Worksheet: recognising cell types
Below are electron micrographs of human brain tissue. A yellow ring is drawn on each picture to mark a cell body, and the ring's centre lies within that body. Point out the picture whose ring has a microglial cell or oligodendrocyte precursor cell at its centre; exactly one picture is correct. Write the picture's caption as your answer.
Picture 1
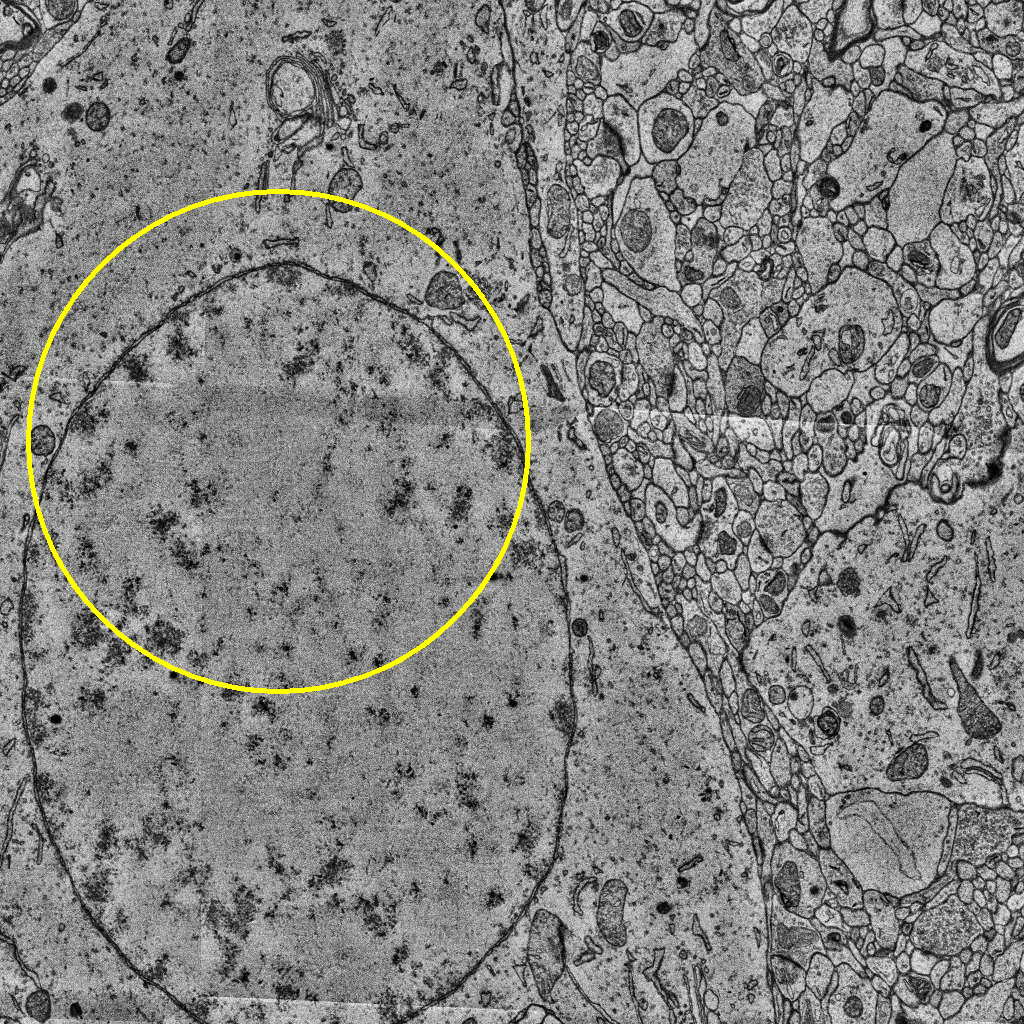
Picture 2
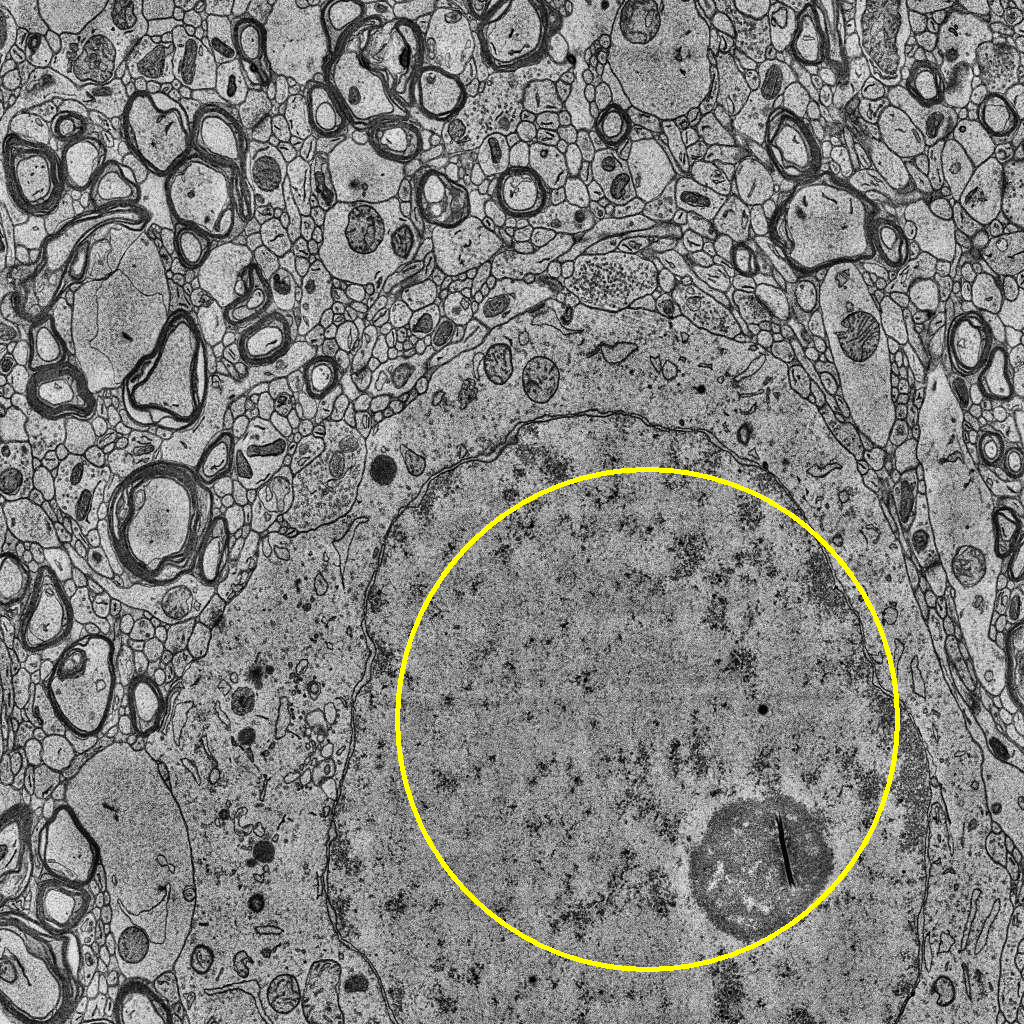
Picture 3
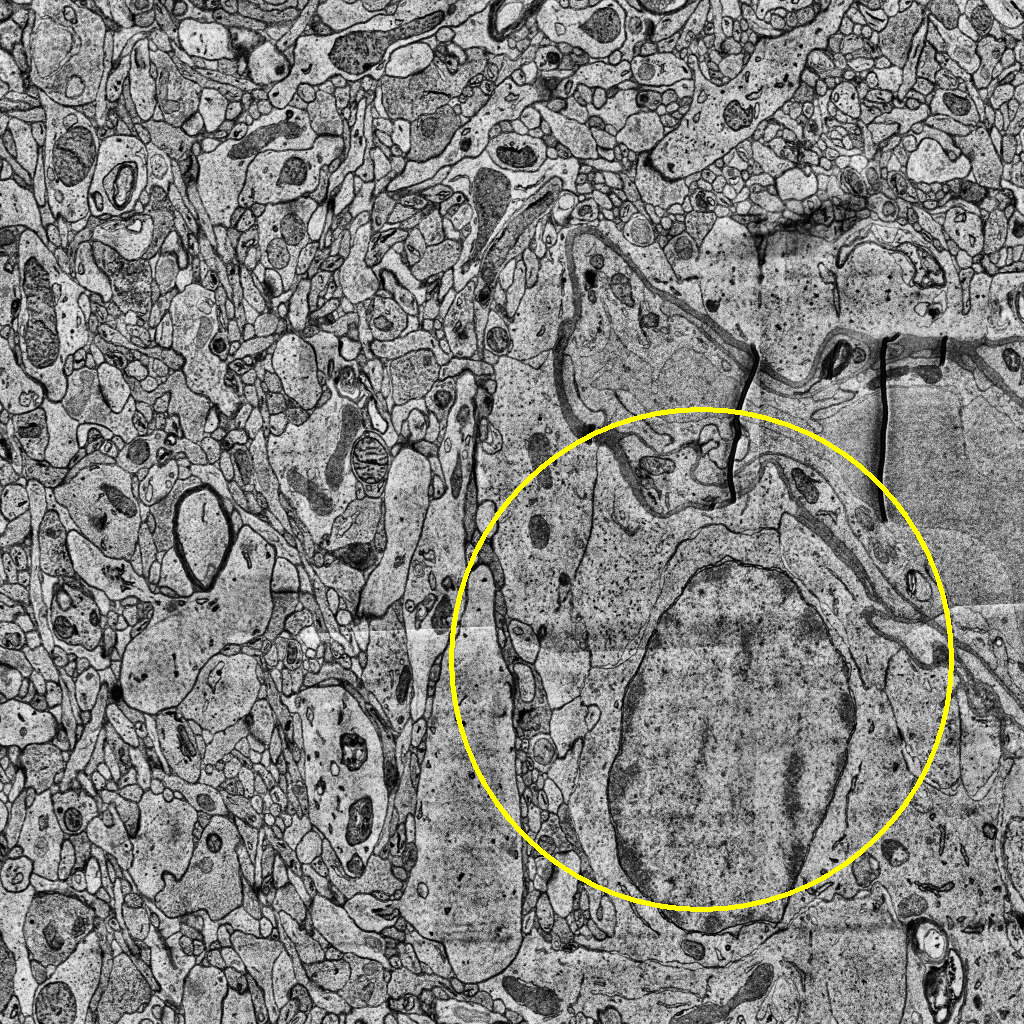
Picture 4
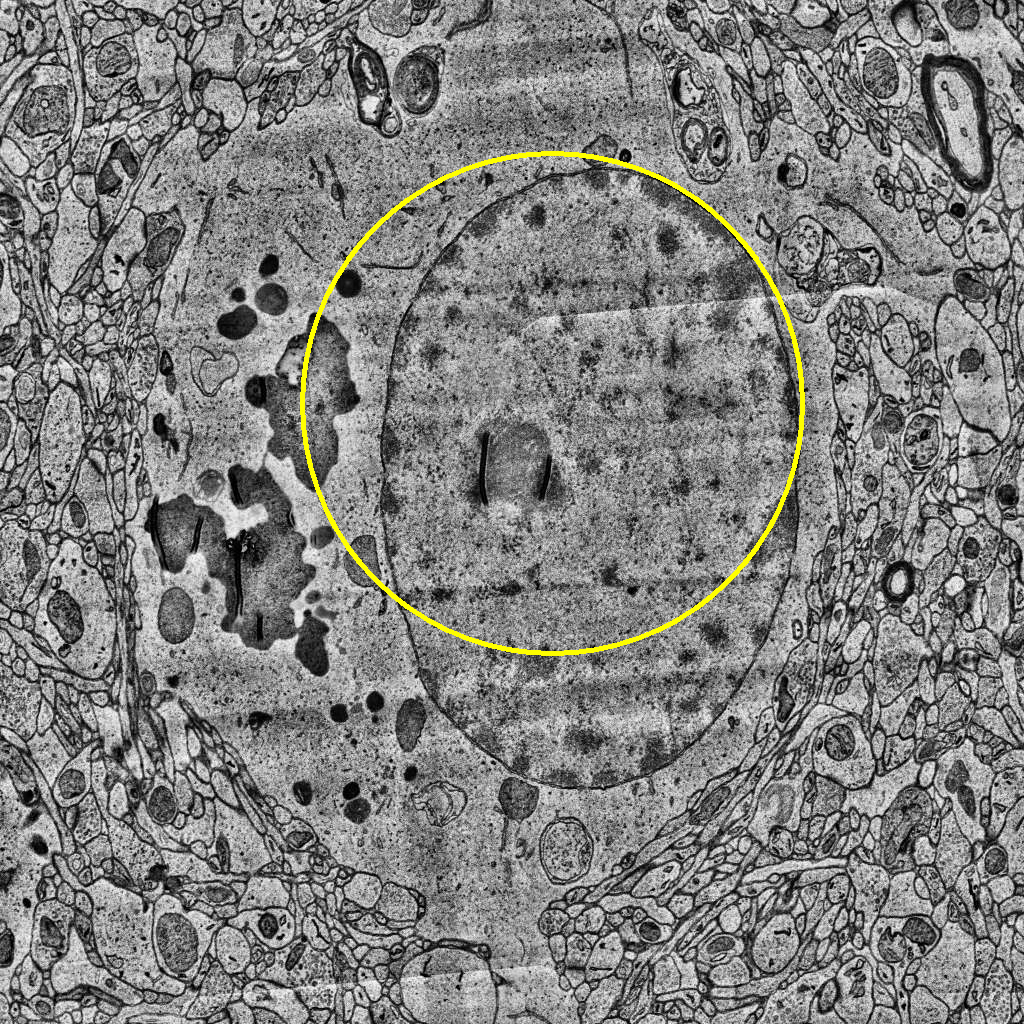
Picture 3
